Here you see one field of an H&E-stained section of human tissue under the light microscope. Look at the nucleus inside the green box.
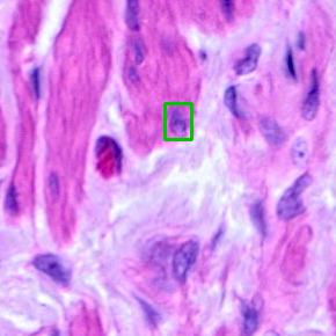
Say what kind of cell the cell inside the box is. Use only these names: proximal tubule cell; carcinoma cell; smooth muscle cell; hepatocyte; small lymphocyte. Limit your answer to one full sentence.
In the context of this tissue, the cell inside the box is a smooth muscle cell.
